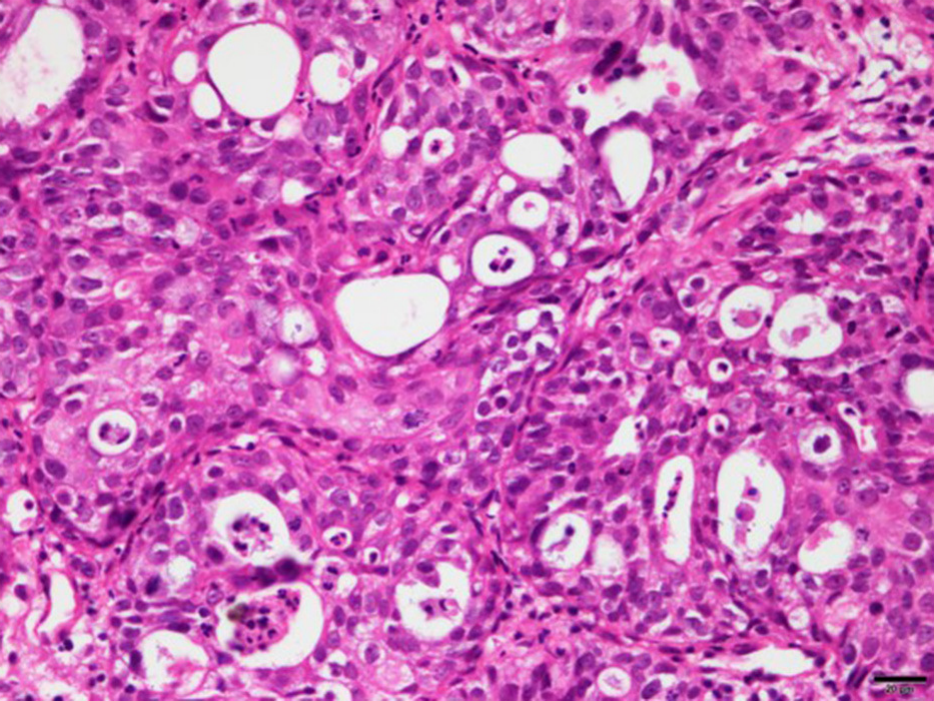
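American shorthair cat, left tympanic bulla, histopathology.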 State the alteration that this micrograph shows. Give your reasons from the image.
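Nests of epithelial cells form many gland-like lumens. Sheets of crowded, atypical epithelial cells with a thin fibrous stroma between nests.
Hence: adenocarcinoma.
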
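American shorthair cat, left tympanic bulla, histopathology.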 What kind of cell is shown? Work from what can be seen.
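Polygonal to columnar epithelial cells. Cells are cohesive and polygonal in solid areas.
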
